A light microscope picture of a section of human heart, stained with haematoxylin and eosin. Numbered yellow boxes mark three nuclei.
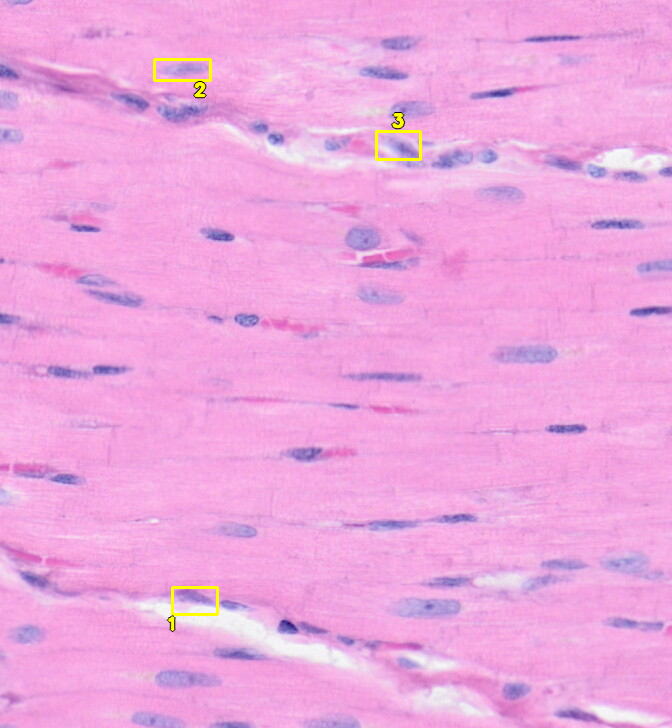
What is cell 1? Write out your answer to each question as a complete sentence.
Denoted by the label 1 in the section is a fibroblast.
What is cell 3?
To a fibroblast belongs the nucleus marked 3.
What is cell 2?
The marked nucleus 2 is that of a cardiomyocyte.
